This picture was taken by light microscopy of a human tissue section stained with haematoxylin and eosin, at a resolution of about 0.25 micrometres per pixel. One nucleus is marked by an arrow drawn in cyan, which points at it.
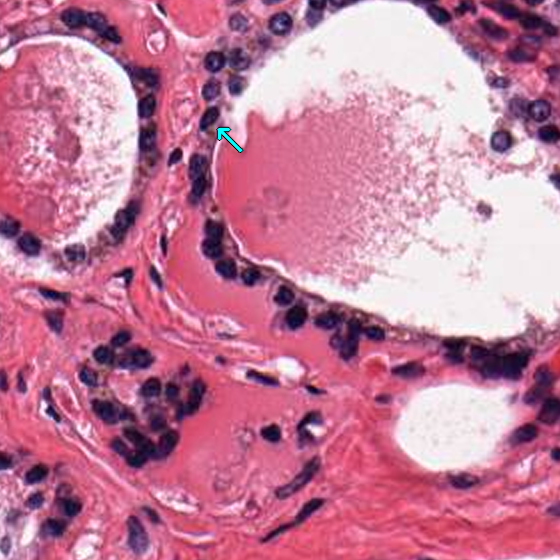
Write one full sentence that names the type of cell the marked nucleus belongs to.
The cell bearing the marked nucleus is a thyroid follicular cell.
